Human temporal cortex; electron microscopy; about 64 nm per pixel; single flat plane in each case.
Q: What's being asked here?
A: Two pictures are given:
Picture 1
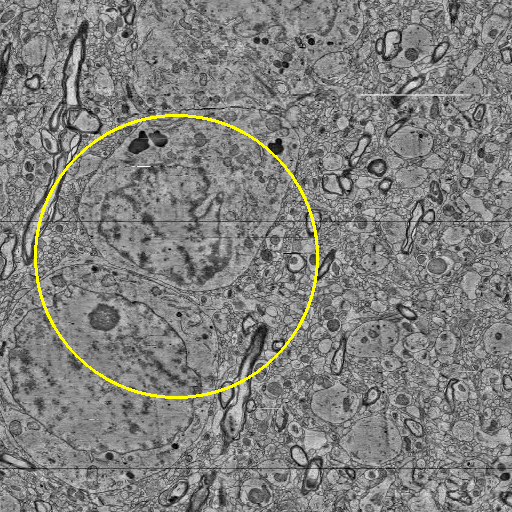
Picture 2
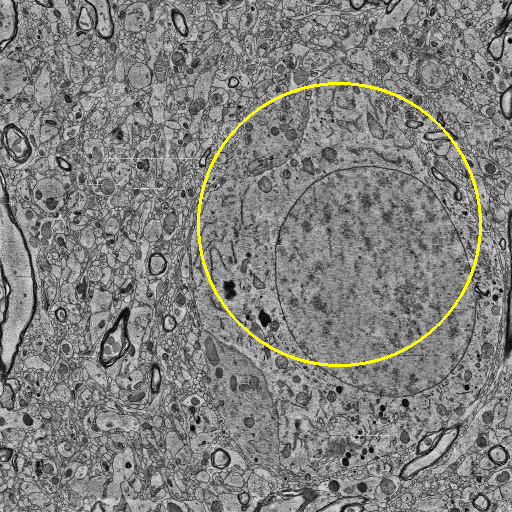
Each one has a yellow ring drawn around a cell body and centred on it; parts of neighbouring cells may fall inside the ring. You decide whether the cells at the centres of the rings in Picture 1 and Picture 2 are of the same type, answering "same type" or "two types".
two types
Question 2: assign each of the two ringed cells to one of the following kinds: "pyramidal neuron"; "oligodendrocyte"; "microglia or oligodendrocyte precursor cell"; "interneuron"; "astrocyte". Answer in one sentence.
The two cells are an interneuron in the first picture and a pyramidal neuron in the second.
